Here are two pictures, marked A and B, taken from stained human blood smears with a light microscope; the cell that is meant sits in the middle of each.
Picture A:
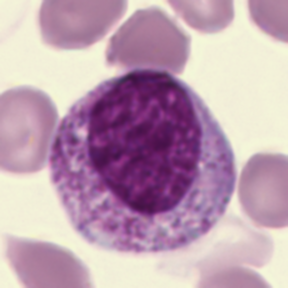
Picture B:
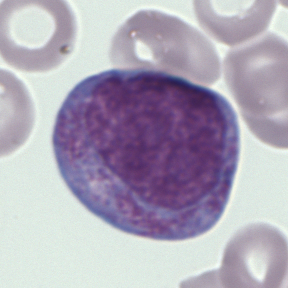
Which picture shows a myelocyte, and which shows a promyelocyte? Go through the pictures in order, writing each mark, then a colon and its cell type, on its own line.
A: myelocyte
B: promyelocyte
